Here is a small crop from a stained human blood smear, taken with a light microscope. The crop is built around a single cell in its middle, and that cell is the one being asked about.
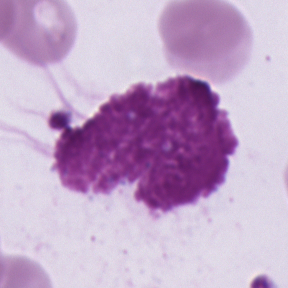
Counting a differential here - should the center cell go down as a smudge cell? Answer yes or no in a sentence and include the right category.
Yes, the cell that occupies the centre is a smudge cell.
